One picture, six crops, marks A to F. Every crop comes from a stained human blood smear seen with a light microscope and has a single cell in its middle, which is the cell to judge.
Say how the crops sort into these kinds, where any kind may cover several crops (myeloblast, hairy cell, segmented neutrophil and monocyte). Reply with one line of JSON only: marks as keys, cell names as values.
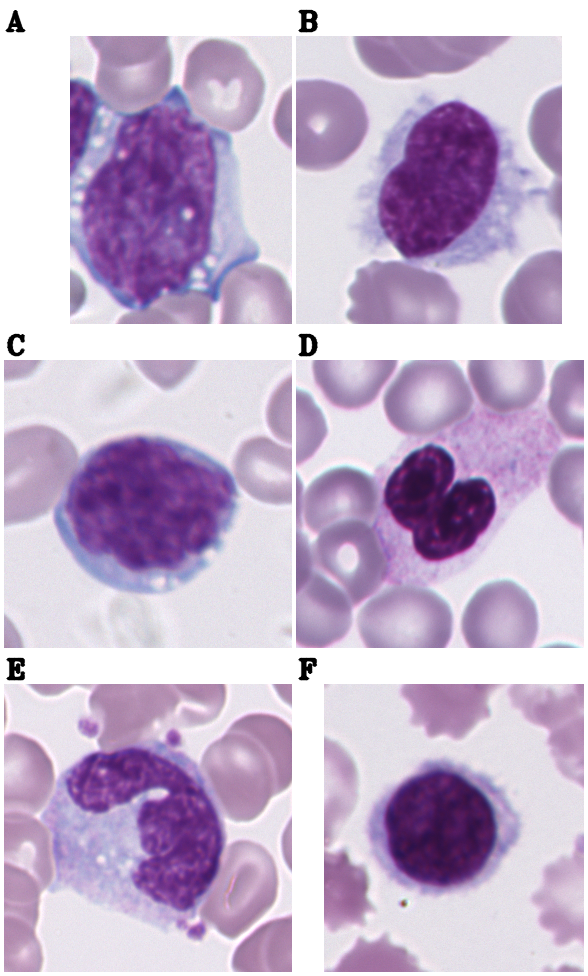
{"A": "myeloblast", "B": "hairy cell", "C": "myeloblast", "D": "segmented neutrophil", "E": "monocyte", "F": "hairy cell"}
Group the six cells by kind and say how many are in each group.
myeloblast: 2
hairy cell: 2
segmented neutrophil: 1
monocyte: 1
